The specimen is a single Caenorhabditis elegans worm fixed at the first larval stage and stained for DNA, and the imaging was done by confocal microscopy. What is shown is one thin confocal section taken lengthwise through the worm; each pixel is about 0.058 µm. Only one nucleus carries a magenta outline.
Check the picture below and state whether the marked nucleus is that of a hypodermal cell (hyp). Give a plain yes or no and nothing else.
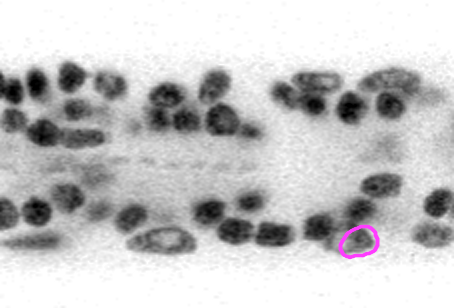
yes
